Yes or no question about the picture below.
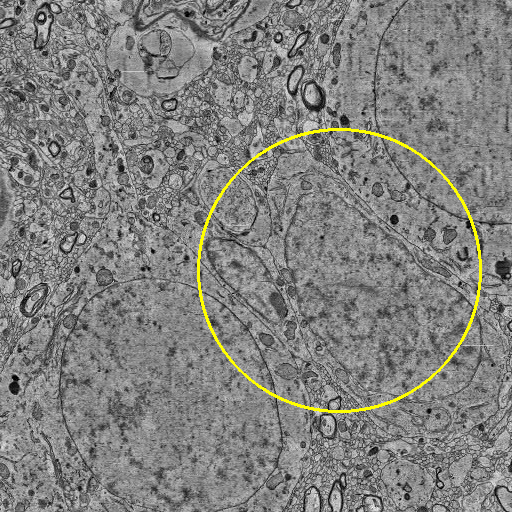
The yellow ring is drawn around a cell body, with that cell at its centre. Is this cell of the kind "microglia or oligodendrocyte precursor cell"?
no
